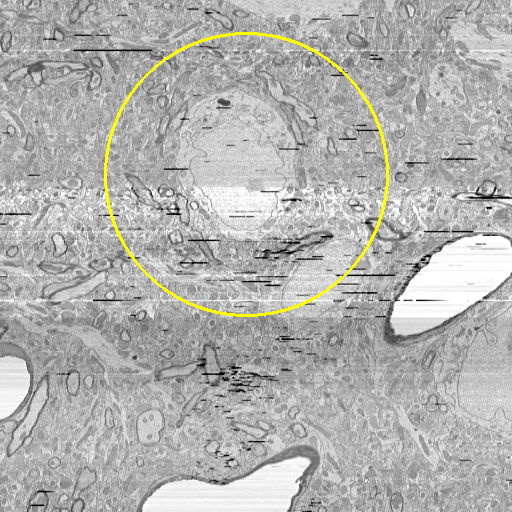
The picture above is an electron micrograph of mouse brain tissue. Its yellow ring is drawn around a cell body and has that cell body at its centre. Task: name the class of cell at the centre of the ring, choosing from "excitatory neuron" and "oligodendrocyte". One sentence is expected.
The ring surrounds the body of an excitatory neuron.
